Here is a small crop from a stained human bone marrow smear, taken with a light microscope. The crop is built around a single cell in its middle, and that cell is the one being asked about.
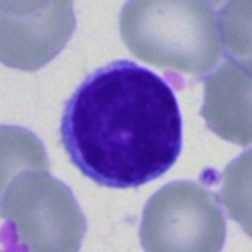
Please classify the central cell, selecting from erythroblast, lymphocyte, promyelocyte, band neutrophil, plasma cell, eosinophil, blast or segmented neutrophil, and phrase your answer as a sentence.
The centrally positioned cell in the crop represents a lymphocyte.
